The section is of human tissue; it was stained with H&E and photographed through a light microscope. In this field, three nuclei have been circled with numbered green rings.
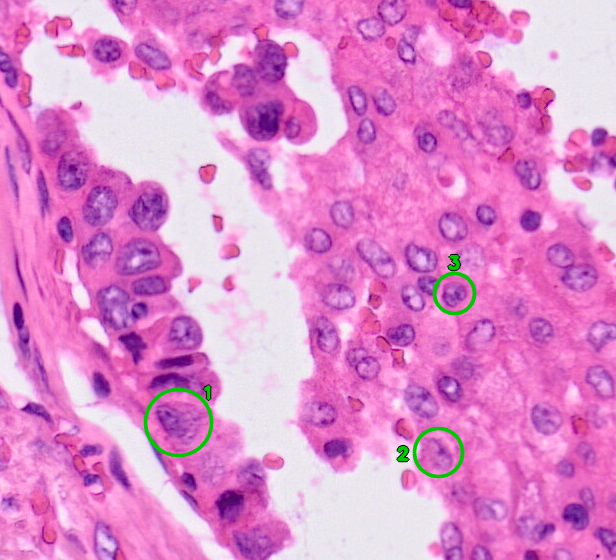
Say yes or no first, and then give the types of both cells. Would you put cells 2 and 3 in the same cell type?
Yes, the pair formed by cells 2 and 3 consists of two macrophages or monocytes.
